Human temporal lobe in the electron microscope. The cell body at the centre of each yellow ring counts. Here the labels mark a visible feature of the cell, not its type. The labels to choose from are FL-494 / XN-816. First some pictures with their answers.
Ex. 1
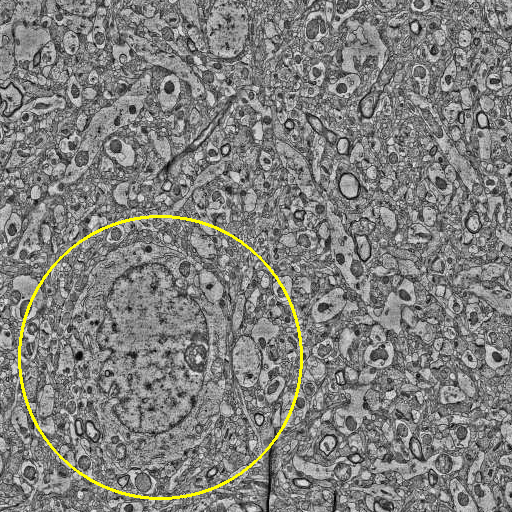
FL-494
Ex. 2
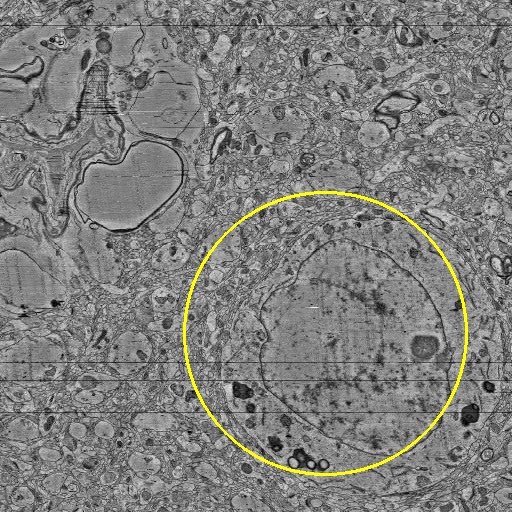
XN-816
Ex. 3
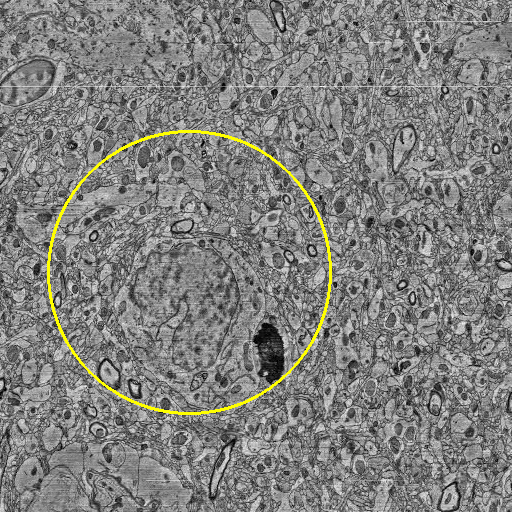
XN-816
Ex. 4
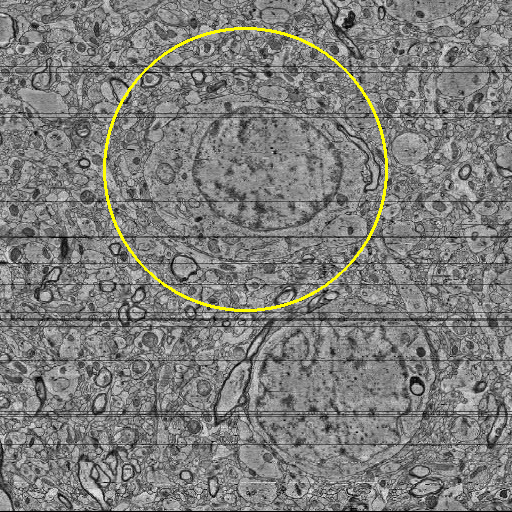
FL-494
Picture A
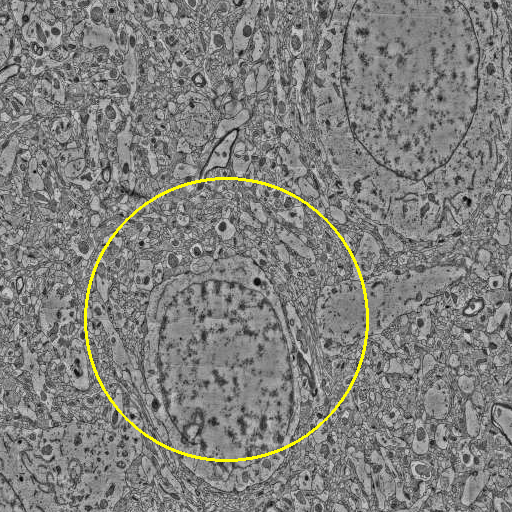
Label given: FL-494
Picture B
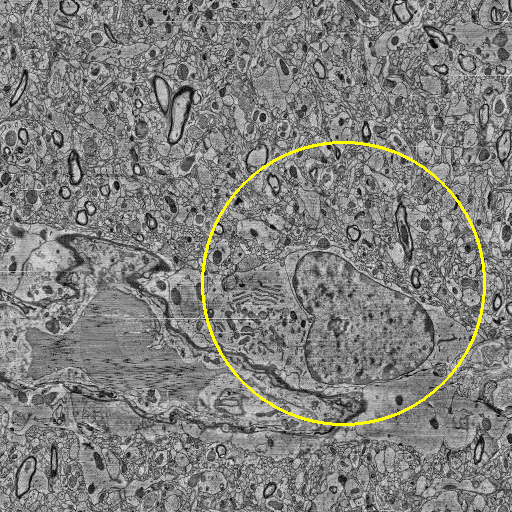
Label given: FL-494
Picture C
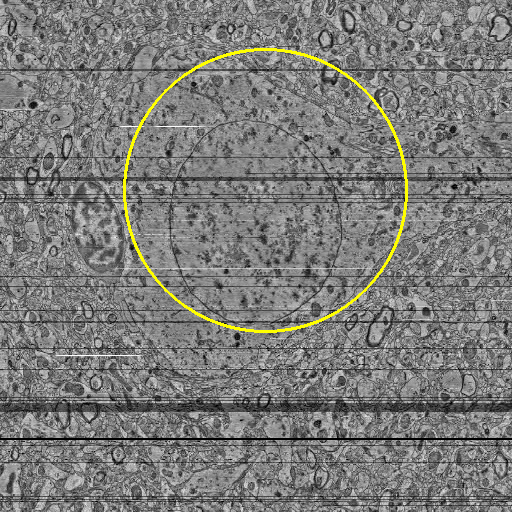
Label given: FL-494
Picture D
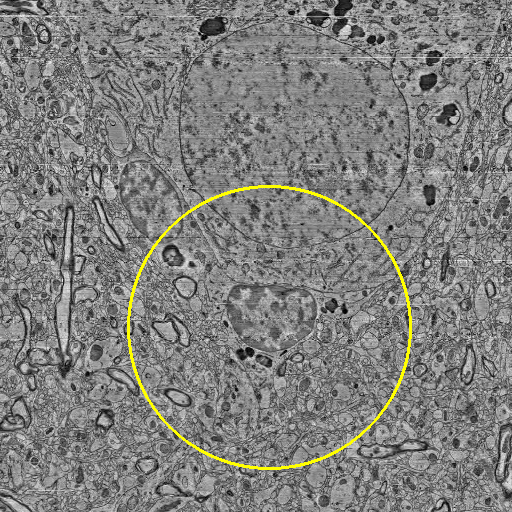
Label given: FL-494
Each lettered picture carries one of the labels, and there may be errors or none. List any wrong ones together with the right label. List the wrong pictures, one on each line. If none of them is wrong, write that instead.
B is labelled FL-494; correct label: XN-816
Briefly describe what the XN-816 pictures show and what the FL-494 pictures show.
XN-816: deeply folded or indented nuclear envelopes; FL-494: smooth nuclear envelopes without deep folds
